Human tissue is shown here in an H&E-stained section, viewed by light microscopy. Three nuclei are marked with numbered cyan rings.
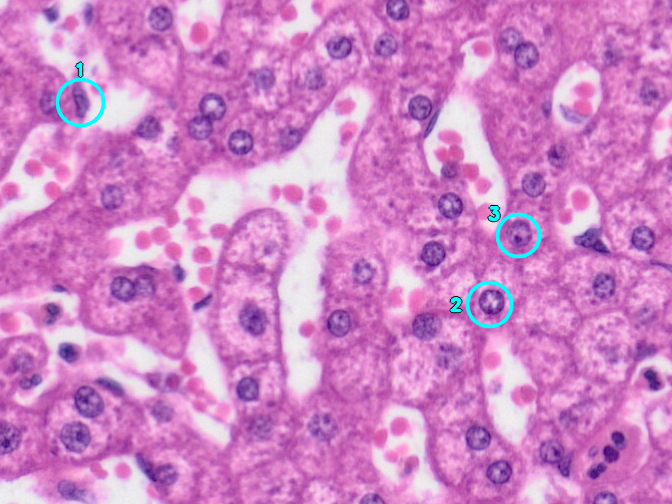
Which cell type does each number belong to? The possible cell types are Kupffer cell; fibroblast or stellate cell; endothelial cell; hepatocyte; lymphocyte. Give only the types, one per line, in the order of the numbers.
Kupffer cell
hepatocyte
hepatocyte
